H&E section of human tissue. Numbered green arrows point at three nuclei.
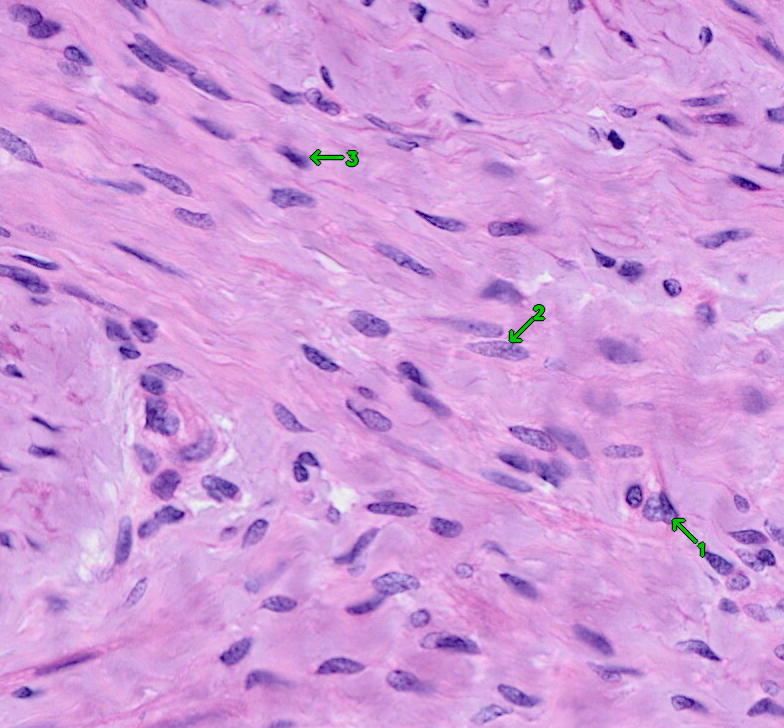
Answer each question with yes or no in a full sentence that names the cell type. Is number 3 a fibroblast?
Yes, the cell carrying number 3 is a fibroblast.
